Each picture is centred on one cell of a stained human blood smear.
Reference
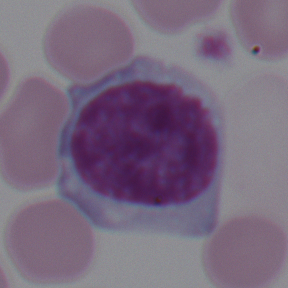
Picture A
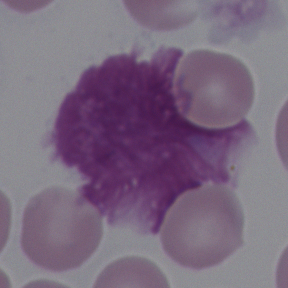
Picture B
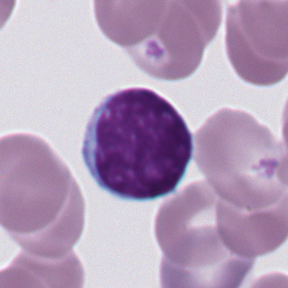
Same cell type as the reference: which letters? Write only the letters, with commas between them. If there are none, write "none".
B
